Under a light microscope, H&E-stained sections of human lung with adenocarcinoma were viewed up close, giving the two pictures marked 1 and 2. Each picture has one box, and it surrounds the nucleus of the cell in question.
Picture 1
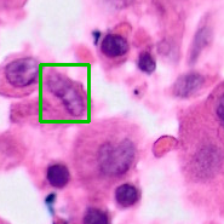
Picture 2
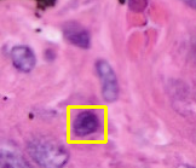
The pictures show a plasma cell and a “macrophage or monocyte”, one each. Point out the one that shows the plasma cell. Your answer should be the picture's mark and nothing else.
2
